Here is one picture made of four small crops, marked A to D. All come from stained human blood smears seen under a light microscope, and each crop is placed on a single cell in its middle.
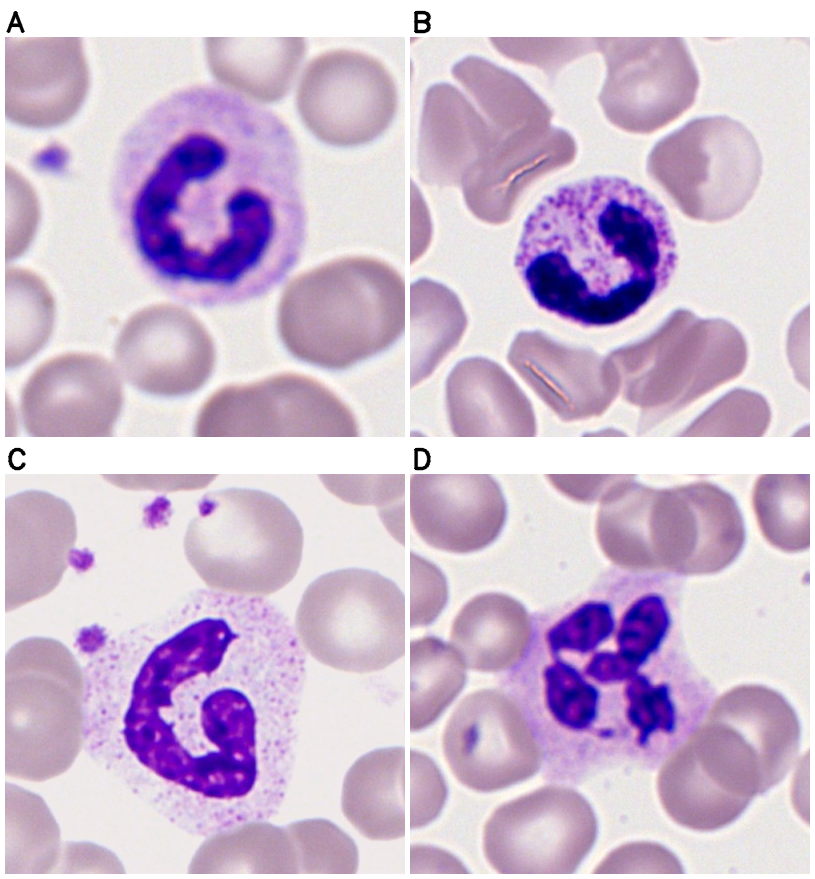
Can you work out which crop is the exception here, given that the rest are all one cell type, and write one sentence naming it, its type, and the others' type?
Unlike the other crops, which all show band neutrophils, crop D is a segmented neutrophil.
